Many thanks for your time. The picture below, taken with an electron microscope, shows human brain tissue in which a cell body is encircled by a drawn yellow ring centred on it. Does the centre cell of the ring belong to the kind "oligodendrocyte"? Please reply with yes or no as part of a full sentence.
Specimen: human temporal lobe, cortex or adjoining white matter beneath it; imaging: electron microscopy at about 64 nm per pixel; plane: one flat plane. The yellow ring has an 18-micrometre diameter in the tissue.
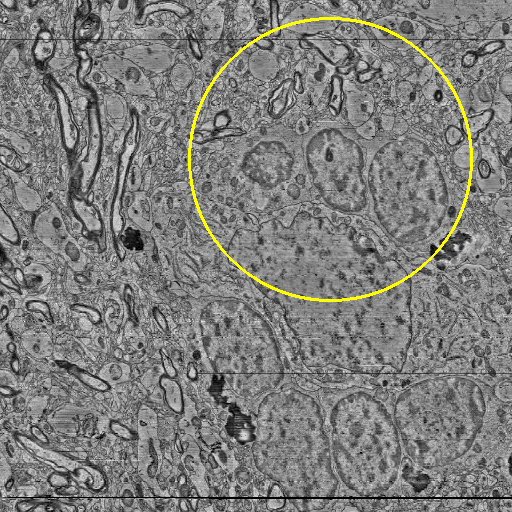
Yes, in the picture the cell at the ring's centre is of the kind you named.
